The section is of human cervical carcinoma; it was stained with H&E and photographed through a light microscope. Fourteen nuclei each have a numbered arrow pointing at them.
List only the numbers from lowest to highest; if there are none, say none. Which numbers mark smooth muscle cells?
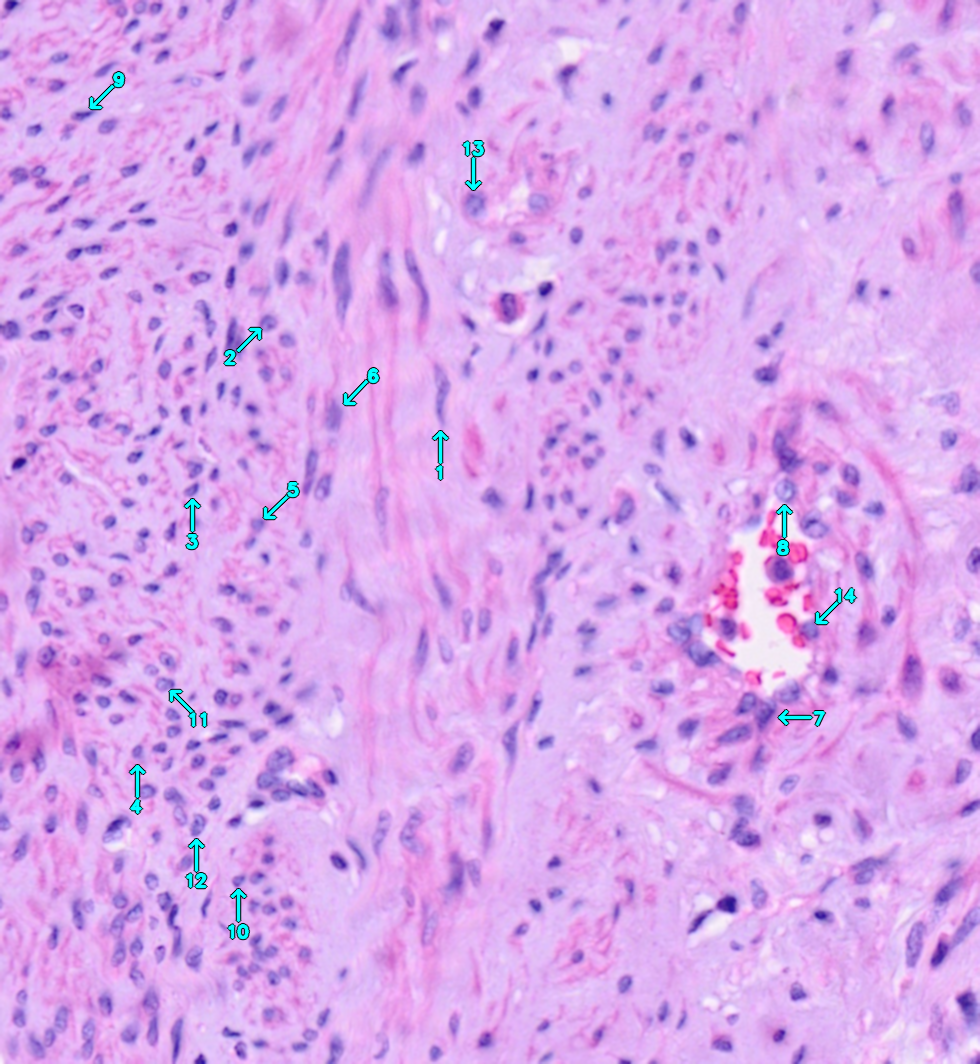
2, 3, 4, 5, 6, 10, 11, 12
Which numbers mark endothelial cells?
7, 8, 13, 14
